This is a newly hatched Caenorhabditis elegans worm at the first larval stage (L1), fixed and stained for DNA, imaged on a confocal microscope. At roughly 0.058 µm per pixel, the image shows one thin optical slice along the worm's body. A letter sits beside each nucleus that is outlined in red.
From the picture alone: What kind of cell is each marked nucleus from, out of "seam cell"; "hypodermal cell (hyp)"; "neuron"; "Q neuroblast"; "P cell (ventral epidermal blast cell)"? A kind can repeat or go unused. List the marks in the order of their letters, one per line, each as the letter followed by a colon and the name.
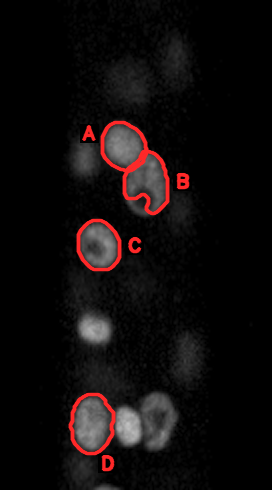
A: Q neuroblast
B: hypodermal cell (hyp)
C: seam cell
D: P cell (ventral epidermal blast cell)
